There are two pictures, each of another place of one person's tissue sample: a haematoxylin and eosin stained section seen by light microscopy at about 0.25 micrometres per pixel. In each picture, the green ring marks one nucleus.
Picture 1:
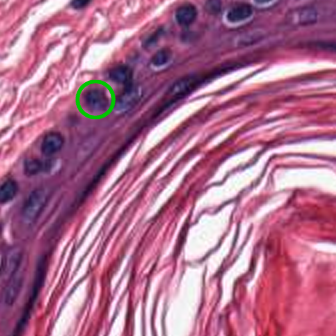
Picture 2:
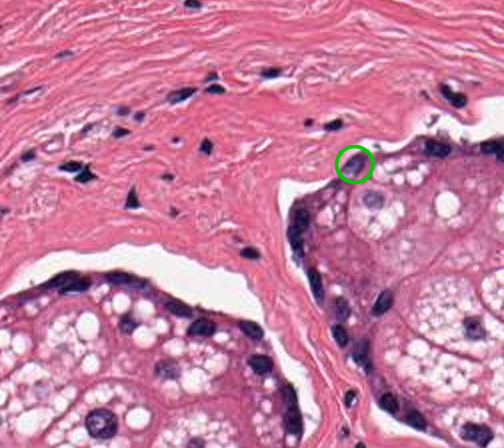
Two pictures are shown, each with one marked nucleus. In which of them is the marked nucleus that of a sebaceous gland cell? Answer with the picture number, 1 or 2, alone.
2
